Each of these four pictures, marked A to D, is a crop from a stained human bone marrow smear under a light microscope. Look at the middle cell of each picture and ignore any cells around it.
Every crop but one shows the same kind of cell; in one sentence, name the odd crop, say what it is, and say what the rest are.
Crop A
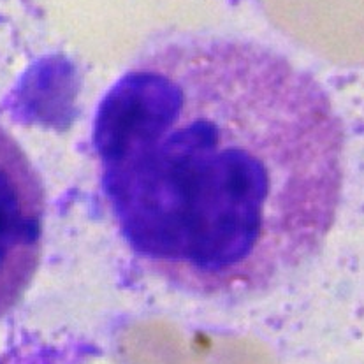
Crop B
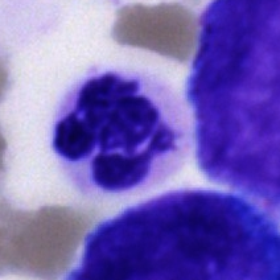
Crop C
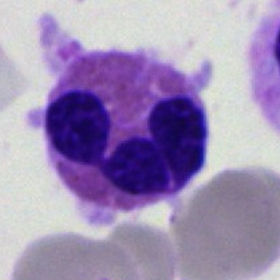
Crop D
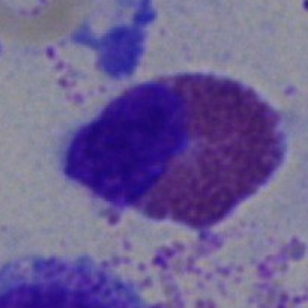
All of the other crops show eosinophils; crop B, by contrast, is a segmented neutrophil.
